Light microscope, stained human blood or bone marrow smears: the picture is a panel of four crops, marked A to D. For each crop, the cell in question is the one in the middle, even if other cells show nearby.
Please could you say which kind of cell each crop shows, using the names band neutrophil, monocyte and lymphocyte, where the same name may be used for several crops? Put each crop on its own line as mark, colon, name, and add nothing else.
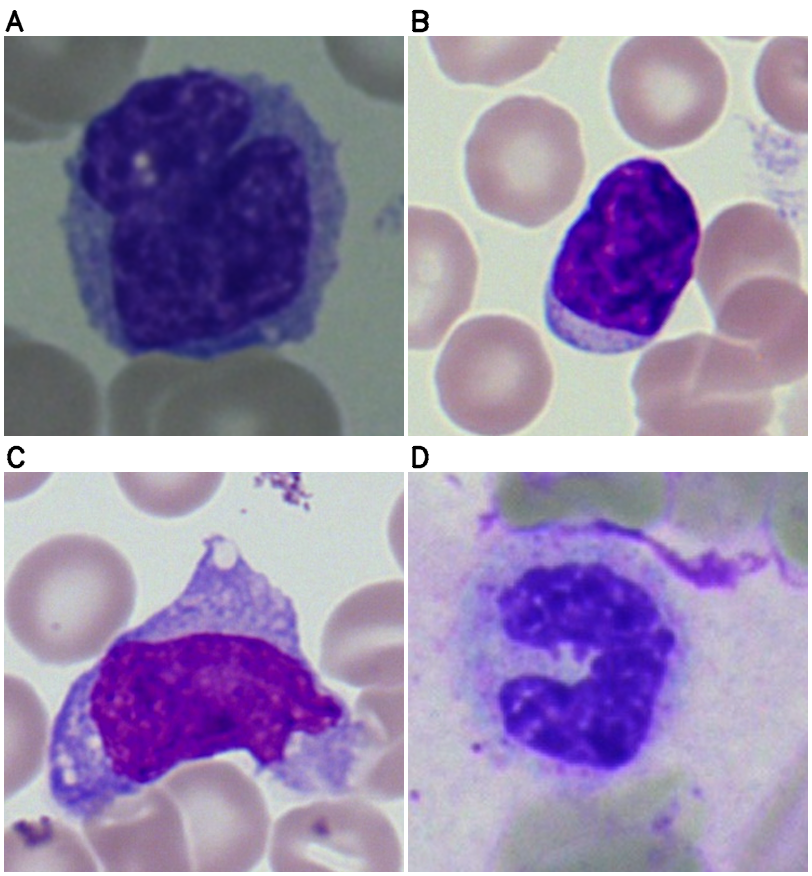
A: monocyte
B: lymphocyte
C: monocyte
D: band neutrophil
